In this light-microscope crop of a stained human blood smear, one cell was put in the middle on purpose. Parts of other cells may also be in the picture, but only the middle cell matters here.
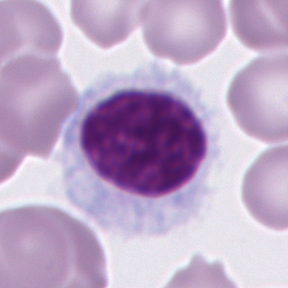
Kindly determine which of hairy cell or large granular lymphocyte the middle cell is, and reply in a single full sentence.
Of the cells in this crop, the central one is a hairy cell.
